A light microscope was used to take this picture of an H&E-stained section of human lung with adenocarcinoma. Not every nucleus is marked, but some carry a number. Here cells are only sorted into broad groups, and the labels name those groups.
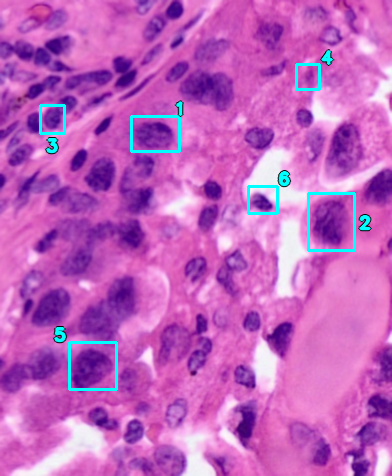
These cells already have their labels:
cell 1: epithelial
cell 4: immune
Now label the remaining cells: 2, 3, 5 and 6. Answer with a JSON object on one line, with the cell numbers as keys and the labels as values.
{"2": "epithelial", "3": "immune", "5": "epithelial", "6": "immune"}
